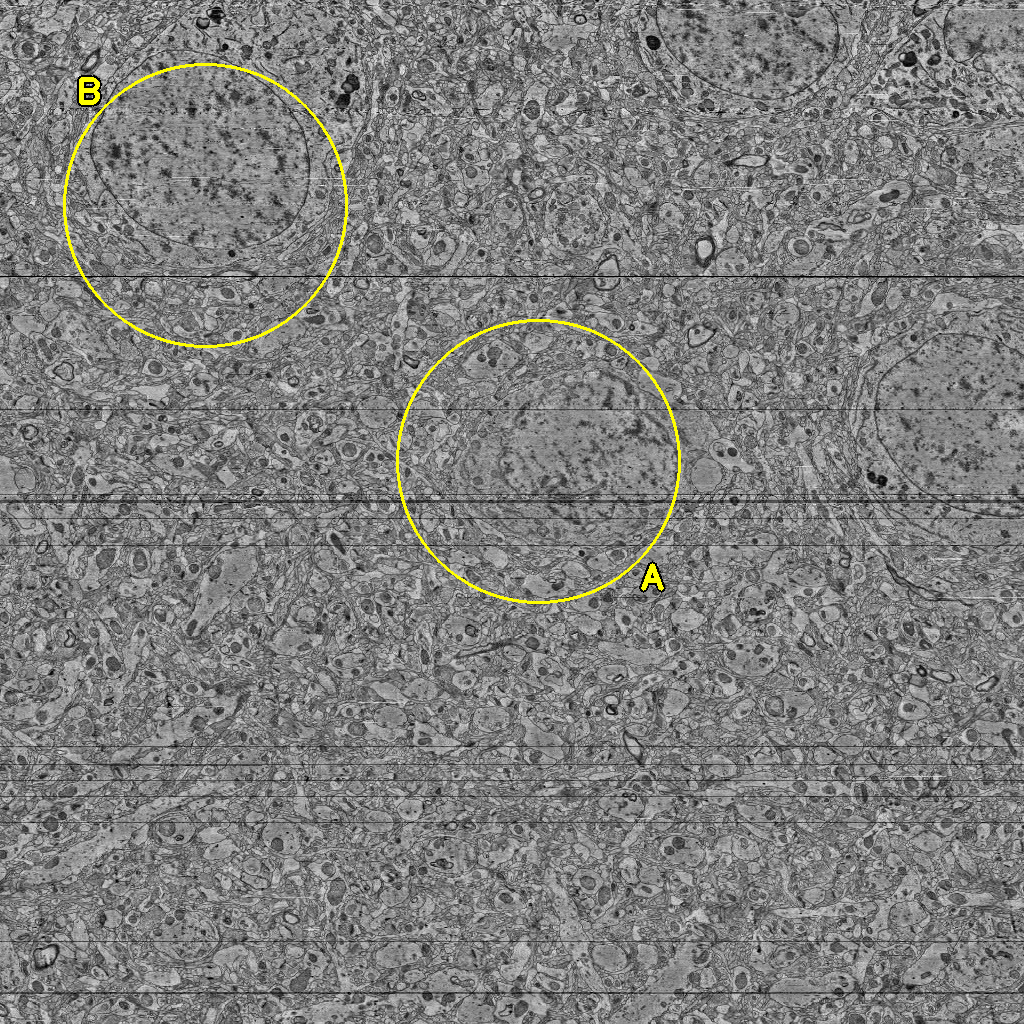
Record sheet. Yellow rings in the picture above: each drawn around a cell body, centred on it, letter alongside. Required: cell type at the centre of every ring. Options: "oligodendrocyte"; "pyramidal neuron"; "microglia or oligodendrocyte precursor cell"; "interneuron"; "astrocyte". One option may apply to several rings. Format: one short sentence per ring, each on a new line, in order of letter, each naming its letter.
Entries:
Ring A contains an interneuron at the centre.
Ring B contains a pyramidal neuron at the centre.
